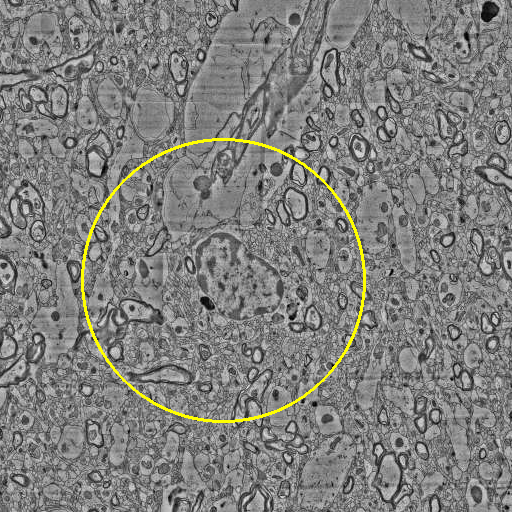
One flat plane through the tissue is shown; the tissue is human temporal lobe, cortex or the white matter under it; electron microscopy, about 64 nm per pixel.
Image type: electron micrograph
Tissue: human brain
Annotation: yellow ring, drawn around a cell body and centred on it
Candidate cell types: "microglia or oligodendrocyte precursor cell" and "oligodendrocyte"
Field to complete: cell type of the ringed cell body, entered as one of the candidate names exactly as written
microglia or oligodendrocyte precursor cell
